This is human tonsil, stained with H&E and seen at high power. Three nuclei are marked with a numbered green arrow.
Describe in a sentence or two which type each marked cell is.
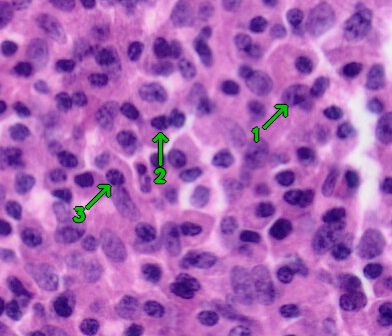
Cell 1 is a squamous epithelial cell. Cells 2 and 3 are plasma cells.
